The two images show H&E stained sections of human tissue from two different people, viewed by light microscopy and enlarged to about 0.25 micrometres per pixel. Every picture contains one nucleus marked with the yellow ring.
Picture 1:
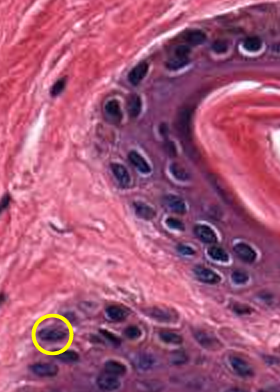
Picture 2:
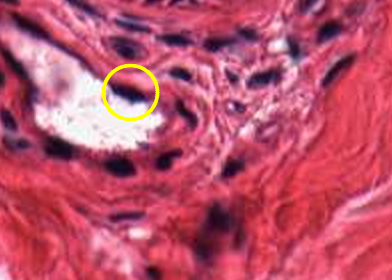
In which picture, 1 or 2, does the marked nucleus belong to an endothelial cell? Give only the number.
2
